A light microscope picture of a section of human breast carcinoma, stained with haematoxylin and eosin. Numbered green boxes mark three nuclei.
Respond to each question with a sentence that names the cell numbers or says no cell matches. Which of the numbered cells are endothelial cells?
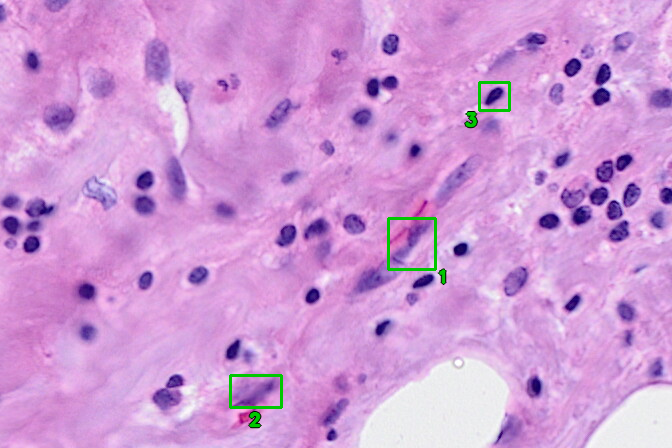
The cells tagged with numbers 1 and 2 are endothelial cells.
